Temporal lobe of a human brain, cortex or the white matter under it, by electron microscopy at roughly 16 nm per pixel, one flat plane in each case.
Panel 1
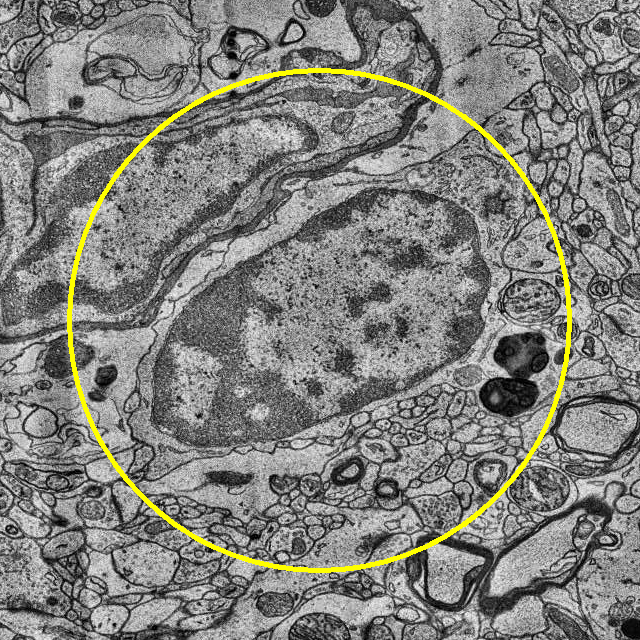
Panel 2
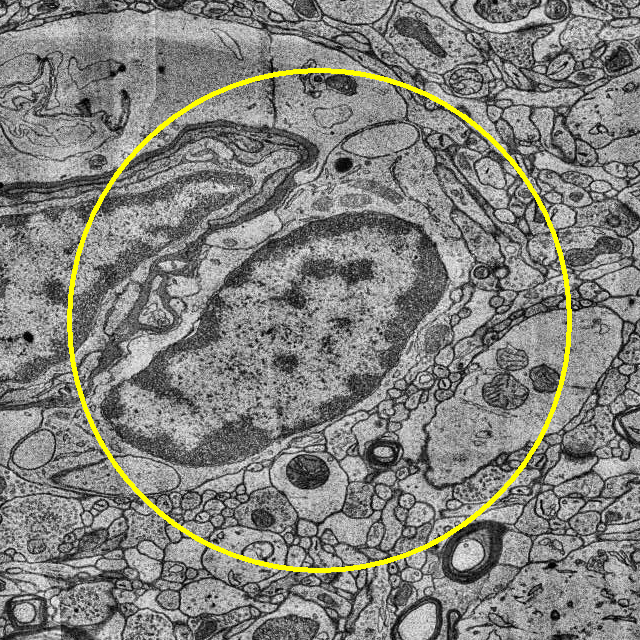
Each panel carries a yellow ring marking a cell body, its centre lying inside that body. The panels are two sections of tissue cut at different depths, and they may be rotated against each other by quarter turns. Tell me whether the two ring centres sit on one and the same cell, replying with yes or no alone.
yes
